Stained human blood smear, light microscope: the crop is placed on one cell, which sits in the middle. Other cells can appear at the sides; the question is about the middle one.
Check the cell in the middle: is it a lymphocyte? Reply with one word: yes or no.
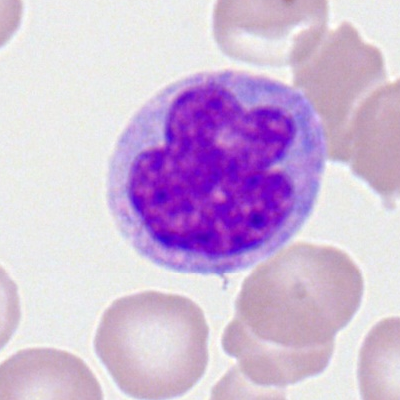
no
